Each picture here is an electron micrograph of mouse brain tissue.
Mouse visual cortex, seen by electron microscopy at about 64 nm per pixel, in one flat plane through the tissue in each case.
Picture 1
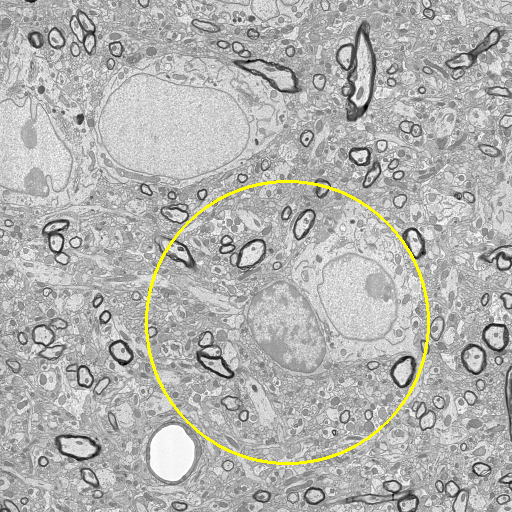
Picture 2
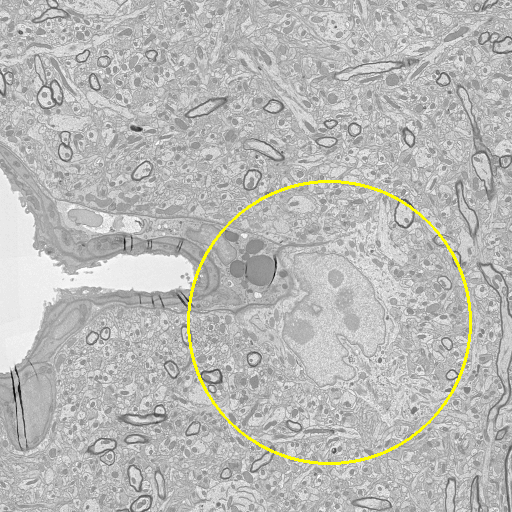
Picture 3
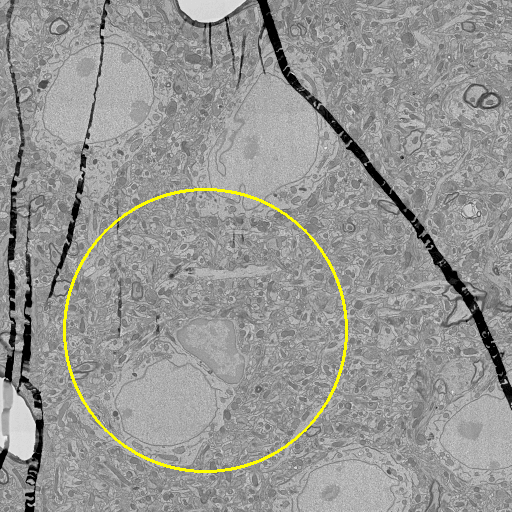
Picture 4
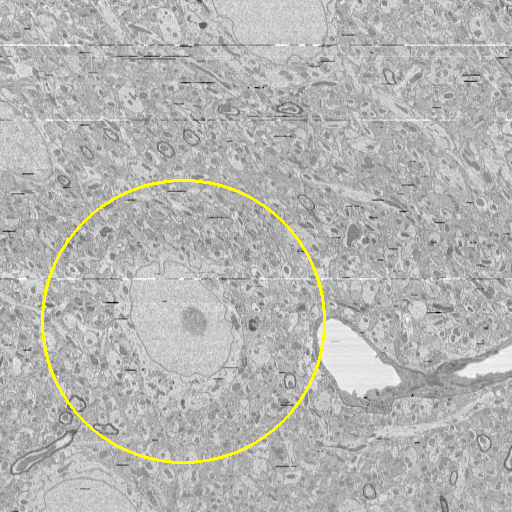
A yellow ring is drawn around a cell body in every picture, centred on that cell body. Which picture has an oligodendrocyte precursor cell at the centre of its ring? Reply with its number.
2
